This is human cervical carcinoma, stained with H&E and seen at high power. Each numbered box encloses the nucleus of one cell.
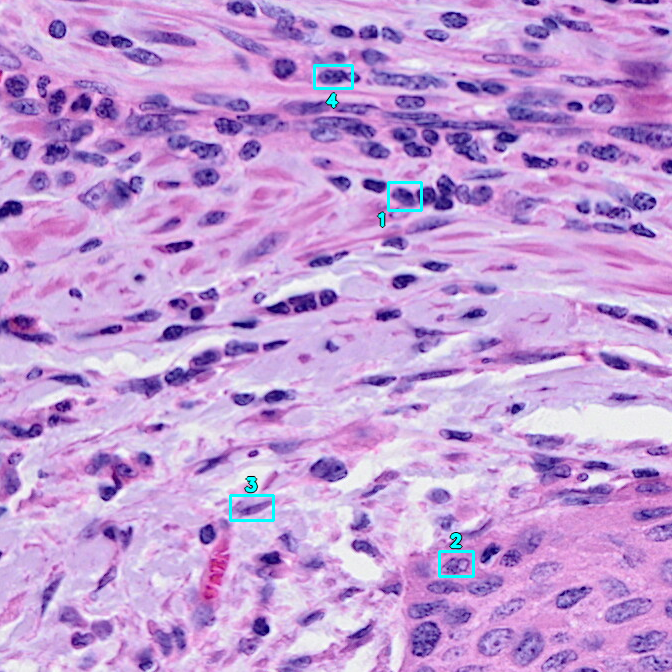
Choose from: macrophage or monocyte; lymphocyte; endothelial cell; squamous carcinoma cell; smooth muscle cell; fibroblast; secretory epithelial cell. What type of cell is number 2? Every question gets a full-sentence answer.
Belonging to a squamous carcinoma cell is the nucleus that carries the number 2.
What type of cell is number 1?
The mark numbered 1 indicates the nucleus of a lymphocyte.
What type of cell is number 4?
The cell numbered 4 has been identified as a lymphocyte.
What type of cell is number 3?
The cell numbered 3 has been identified as a fibroblast.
